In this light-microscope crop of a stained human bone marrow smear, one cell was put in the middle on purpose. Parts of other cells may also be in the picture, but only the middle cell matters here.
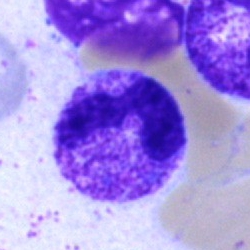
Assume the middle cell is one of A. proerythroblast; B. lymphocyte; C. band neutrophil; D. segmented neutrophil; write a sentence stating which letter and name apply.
For this crop, option D is right, the centered cell being a segmented neutrophil.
